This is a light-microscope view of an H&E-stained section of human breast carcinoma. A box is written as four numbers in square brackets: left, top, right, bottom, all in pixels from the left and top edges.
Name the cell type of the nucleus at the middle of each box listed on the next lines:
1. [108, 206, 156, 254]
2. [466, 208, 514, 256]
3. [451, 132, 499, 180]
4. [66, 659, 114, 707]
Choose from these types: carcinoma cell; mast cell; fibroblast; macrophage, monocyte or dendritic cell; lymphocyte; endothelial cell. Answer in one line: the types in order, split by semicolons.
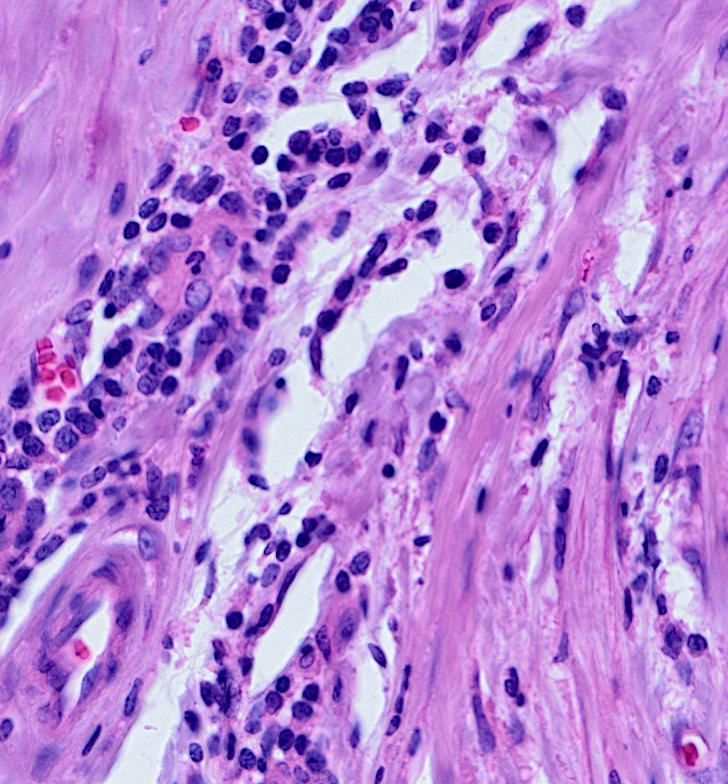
lymphocyte; lymphocyte; lymphocyte; endothelial cell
